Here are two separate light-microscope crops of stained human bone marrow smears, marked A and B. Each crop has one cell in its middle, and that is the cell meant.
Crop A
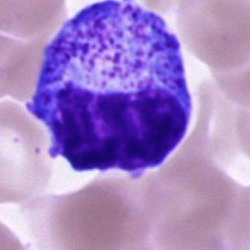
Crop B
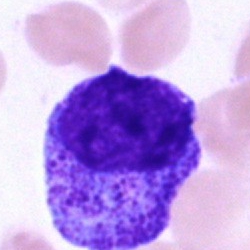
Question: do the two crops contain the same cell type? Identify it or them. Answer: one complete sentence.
Yes, both crops contain promyelocytes at their centres.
